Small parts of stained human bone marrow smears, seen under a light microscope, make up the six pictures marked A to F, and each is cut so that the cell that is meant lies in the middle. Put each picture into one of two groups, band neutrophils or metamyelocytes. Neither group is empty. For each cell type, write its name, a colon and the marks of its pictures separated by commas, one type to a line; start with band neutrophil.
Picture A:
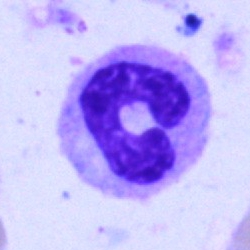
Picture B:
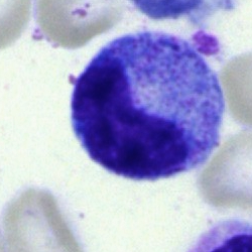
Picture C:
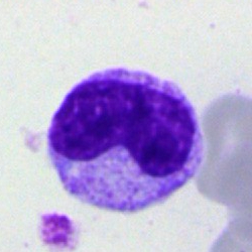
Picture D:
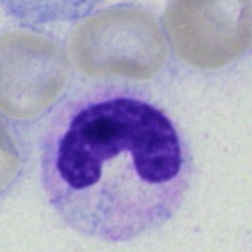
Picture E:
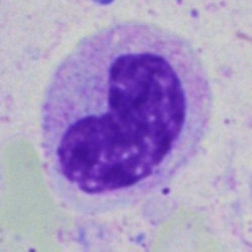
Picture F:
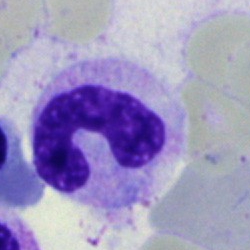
band neutrophil: A, D, F
metamyelocyte: B, C, E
